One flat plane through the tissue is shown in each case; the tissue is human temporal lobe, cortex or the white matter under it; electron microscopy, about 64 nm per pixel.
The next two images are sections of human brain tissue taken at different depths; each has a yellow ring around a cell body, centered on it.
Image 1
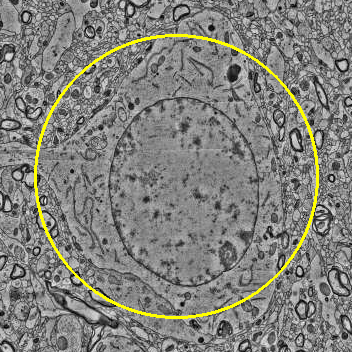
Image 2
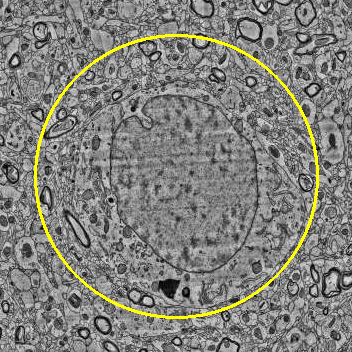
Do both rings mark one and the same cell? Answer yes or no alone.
no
